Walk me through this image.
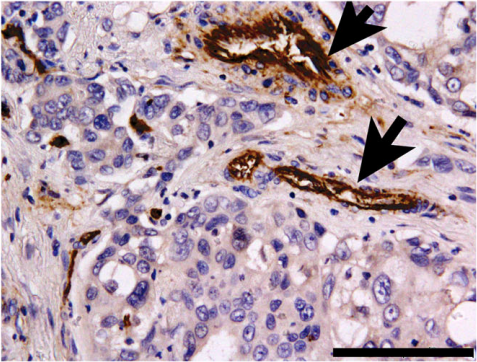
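Carcinoma tissue with solid nests of large tumor cells with vesicular, irregular nuclei, prominent nucleoli and some clear vacuoles in the cytoplasm, separated by thin stroma. Within the stroma run elongated channels with narrow lumina whose lining cells are stained strongly dark brown, and a few smaller brown profiles are scattered nearby. The tumor cells themselves stay bluish and unstained. The brown-lined channels are small blood vessels within the tumor, and the stained lining cells are endothelial cells of these tumor vessels.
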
